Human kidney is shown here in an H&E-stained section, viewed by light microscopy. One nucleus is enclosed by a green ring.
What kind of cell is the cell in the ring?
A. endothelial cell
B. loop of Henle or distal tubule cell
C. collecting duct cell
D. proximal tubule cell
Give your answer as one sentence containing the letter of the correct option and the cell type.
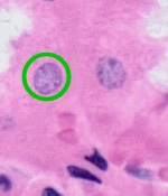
The choice that fits is option D, as the cell in the ring is a proximal tubule cell.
